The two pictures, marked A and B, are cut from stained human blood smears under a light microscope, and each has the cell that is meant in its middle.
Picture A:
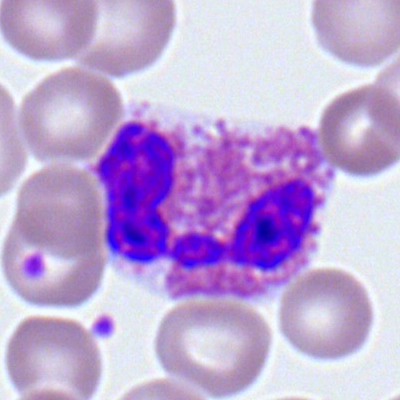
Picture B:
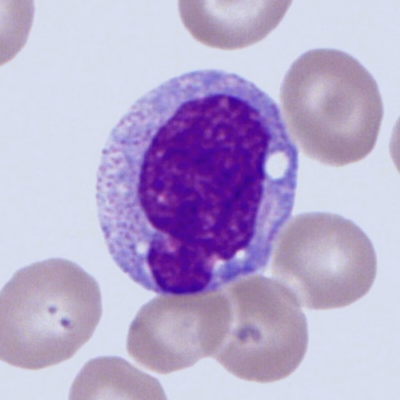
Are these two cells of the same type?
no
